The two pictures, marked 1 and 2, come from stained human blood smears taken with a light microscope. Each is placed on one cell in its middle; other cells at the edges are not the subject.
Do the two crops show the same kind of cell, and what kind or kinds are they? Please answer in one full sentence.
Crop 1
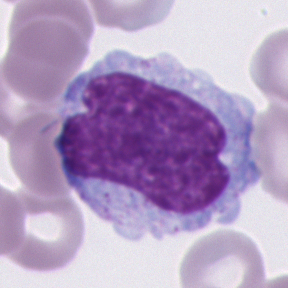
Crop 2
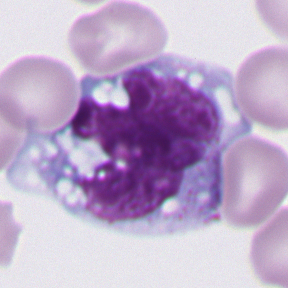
Yes, monocytes are the central cells in the two crops.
